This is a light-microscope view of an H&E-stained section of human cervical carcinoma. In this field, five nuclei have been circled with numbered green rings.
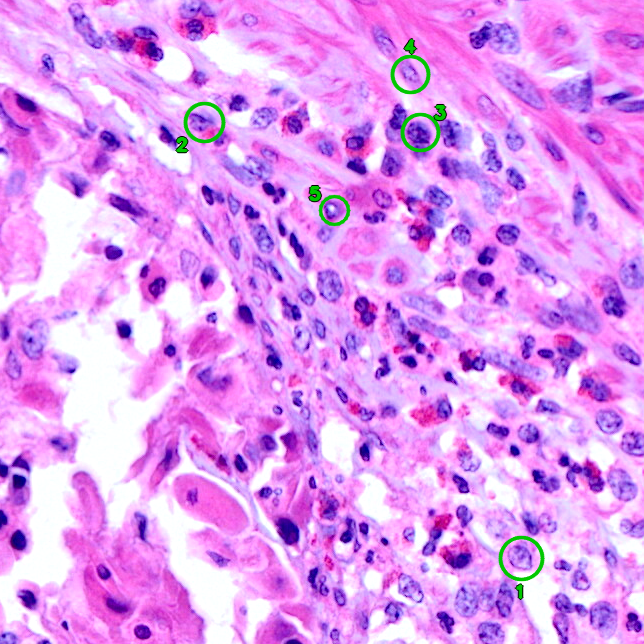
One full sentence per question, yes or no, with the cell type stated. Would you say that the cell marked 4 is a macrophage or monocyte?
No, cell 4 is not a macrophage or monocyte; a smooth muscle cell is the correct identification.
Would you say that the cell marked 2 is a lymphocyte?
No, cell 2 is not a lymphocyte. It is a macrophage or monocyte.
